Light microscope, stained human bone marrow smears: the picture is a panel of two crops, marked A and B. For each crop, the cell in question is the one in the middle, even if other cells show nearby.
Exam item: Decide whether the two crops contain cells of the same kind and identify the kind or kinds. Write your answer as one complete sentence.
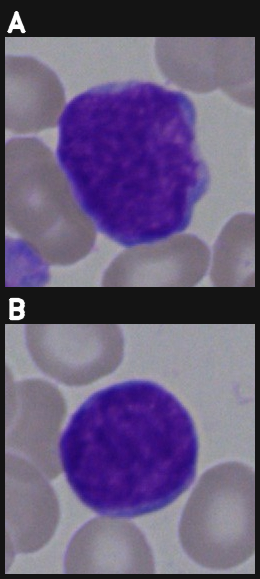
Yes, in the case of both crops, the central cells are blasts.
